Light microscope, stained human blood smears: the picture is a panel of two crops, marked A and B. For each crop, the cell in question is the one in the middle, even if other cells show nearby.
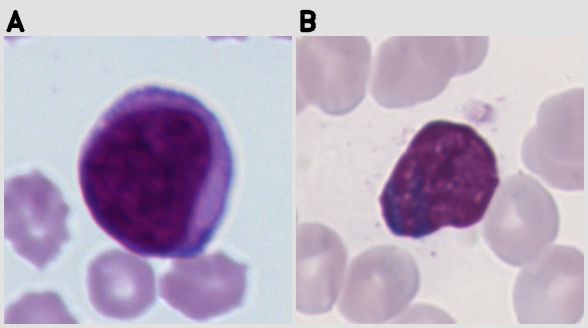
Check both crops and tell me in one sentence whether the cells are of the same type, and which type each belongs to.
No, the cell at the middle of crop A is a myeloblast, while crop B centres on a smudge cell.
